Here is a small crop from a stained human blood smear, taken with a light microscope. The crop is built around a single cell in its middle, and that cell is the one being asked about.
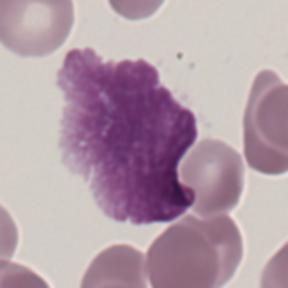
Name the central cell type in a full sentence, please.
For this crop, the central cell is a smudge cell.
